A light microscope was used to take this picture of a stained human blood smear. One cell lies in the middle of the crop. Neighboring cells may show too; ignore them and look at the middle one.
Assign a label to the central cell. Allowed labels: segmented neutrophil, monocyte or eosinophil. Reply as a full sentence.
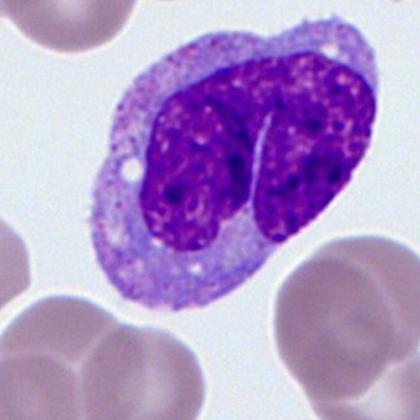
In this smear crop, the middle cell is a monocyte.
